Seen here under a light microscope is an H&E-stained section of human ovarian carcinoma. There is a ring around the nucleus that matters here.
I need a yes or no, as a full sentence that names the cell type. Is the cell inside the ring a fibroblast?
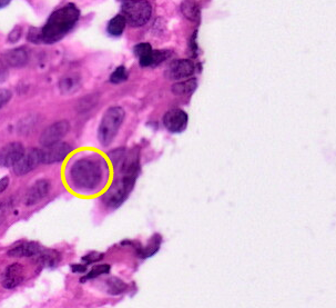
No, put down a carcinoma cell for the cell inside the ring, not a fibroblast.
